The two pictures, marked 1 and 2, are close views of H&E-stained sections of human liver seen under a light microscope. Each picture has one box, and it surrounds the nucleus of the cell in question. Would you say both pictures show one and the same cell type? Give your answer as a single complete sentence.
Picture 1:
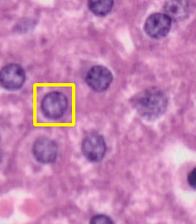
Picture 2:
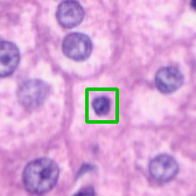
No, picture 1 shows a hepatocyte and picture 2 shows a lymphocyte.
